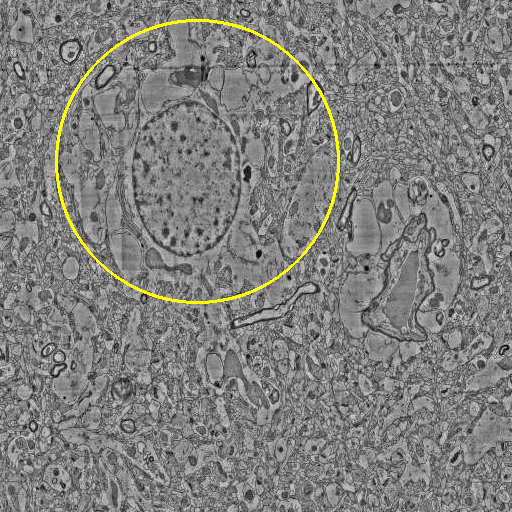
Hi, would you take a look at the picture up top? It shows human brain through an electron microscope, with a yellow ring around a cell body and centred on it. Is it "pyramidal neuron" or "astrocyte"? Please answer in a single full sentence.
The best fit for the cell in the middle of the ring is an astrocyte, I reckon.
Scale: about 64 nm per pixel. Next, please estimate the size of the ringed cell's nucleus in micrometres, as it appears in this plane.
In this plane, the nucleus is roughly 10 by 7 micrometres.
